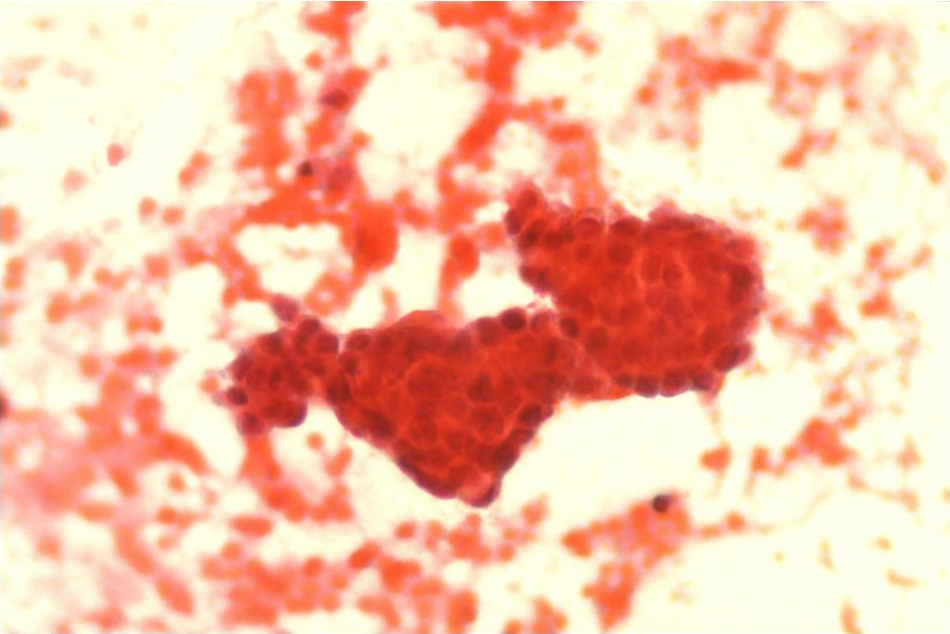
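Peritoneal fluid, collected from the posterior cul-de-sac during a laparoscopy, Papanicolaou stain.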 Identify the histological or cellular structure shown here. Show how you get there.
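The central cells form a tight three-dimensional group rather than lying singly. The group has smooth, rounded outer borders.
Answer: gland-like cluster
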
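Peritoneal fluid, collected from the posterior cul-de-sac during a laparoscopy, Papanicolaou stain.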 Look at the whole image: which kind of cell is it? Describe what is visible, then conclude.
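A cohesive, crowded cluster of small epithelial cells lies in the centre. The cells have round to oval nuclei of fairly uniform size. The nuclei overlap within the cluster.
Conclusion: endometrial cells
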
